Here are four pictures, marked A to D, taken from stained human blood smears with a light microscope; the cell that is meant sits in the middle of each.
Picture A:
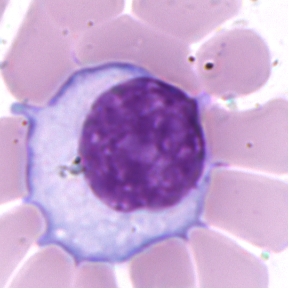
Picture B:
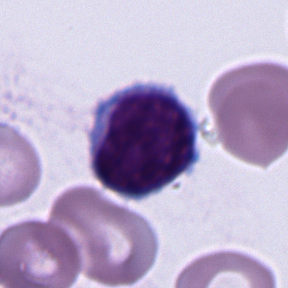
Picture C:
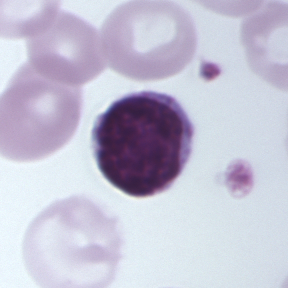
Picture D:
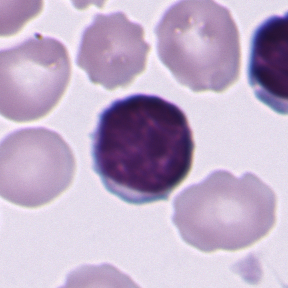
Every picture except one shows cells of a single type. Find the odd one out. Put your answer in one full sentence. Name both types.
Unlike the rest, which show typical lymphocytes, picture A shows a plasma cell.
